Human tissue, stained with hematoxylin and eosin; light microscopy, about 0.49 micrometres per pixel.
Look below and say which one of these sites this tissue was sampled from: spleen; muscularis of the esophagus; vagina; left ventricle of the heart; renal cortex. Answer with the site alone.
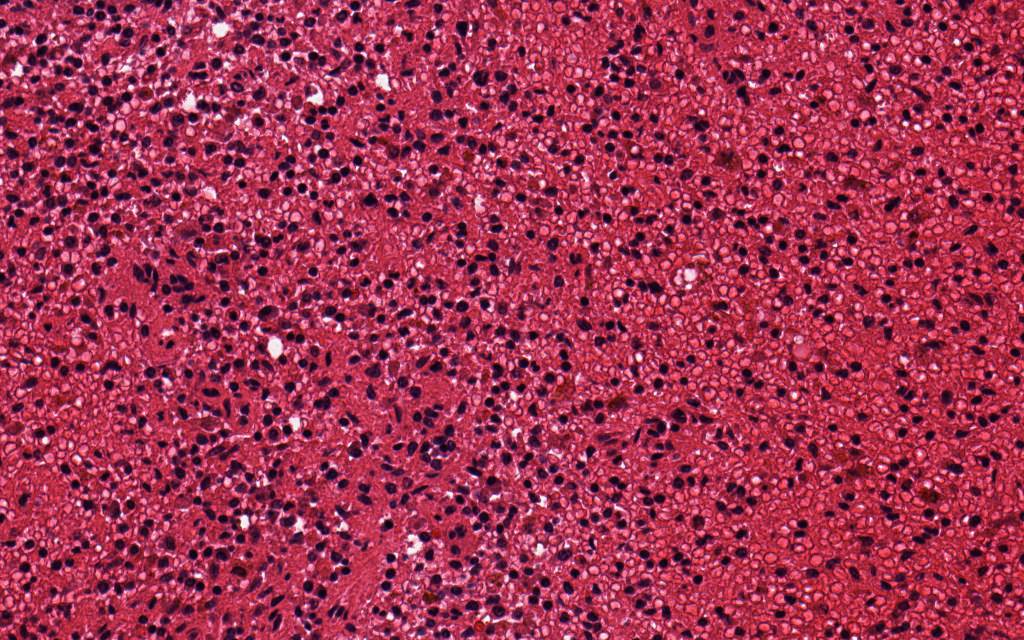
spleen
